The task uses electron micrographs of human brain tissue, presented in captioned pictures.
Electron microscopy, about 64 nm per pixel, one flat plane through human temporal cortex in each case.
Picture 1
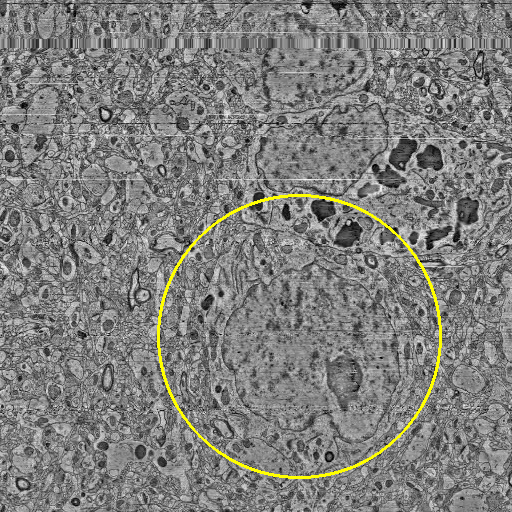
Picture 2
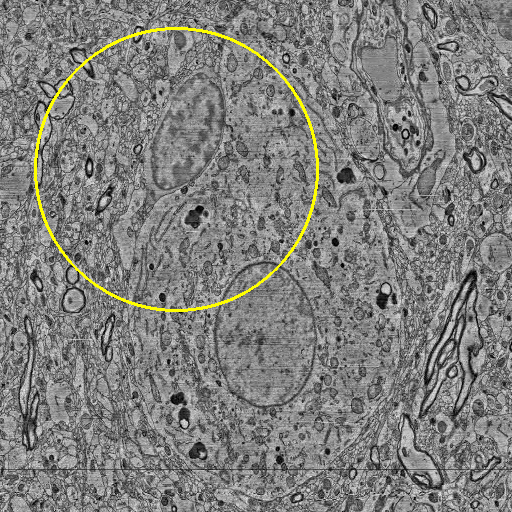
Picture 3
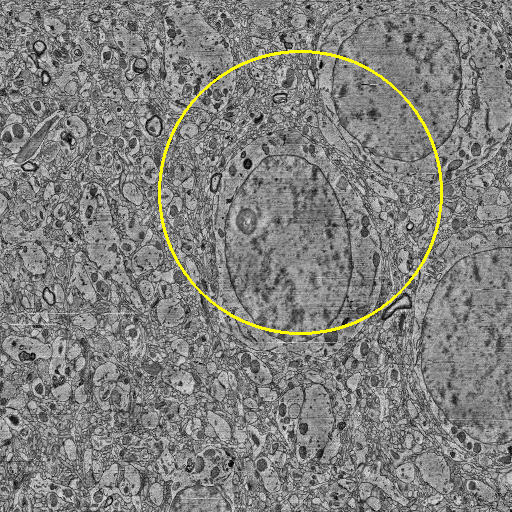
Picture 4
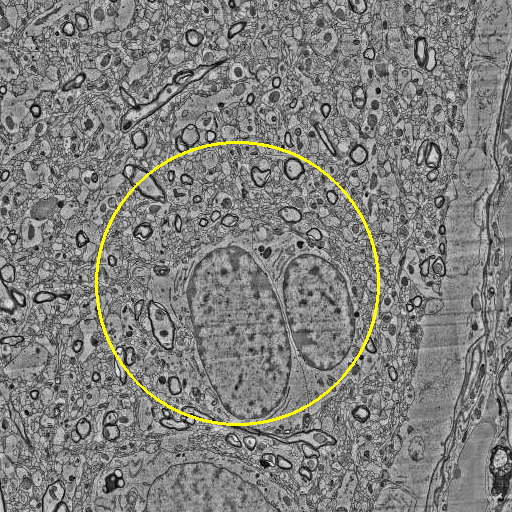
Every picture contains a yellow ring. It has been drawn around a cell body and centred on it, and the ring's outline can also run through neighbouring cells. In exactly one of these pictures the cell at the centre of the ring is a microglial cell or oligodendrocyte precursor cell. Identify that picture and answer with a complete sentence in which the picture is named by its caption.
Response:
The ring in Picture 4 is centred on that kind of cell.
